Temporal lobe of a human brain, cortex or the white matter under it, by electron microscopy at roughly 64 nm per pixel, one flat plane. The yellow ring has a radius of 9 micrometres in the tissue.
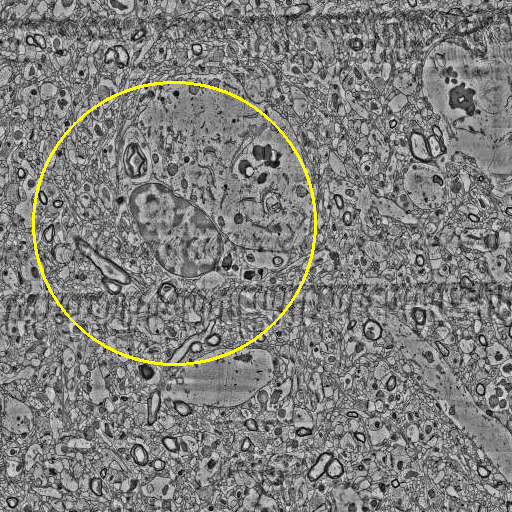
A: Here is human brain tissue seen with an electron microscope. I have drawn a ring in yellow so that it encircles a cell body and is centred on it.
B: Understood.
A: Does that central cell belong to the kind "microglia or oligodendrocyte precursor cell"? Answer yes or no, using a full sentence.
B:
Yes, the central cell inside your yellow ring belongs to that kind.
